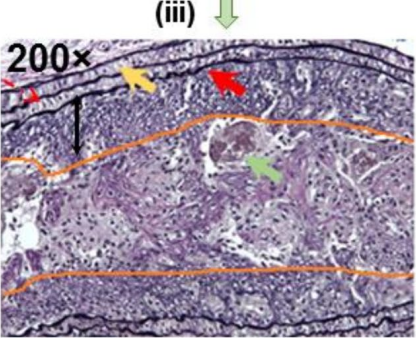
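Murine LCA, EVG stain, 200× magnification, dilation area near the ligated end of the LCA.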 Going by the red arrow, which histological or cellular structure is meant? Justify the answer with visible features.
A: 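The red arrow points to a thin, wavy black line running along the edge of the wall. Several parallel black lines run through the outer layer. So: elastic fiber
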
